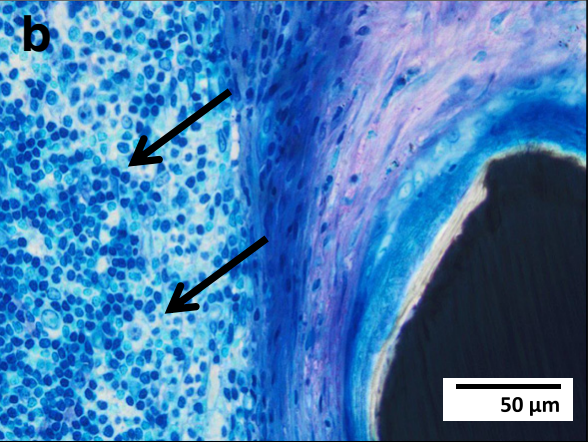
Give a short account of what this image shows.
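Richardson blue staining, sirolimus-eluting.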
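A dense lymphocytic infiltrate occupies the left half of the field, composed of closely packed small round cells with dark blue, round nuclei and scant cytoplasm, with a few paler spaces between them. To the right, a band of fibrous tissue with elongated spindle-shaped nuclei and pink-violet tinged matrix separates the infiltrate from a large black stent strut at the right edge.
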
